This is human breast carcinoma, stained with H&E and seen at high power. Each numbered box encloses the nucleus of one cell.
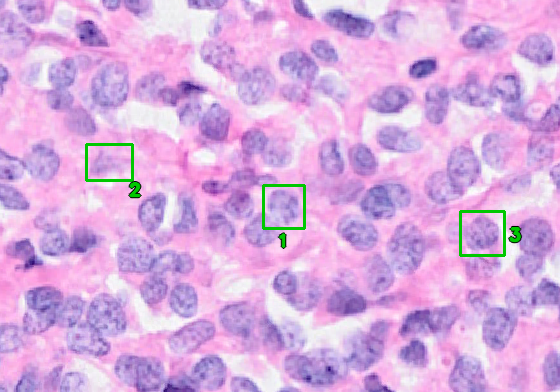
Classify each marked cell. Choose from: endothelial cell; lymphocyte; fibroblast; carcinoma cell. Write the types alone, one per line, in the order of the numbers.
carcinoma cell
fibroblast
carcinoma cell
